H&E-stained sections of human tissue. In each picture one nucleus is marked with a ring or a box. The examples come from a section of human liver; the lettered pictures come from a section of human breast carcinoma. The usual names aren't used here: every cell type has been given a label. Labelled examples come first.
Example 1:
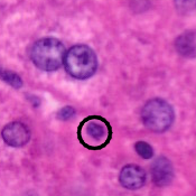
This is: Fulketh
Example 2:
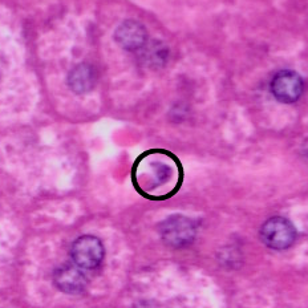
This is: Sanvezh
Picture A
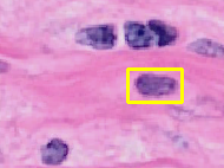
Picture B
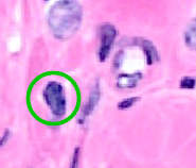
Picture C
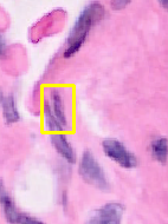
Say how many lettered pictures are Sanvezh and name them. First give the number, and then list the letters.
Count: 1 (C)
